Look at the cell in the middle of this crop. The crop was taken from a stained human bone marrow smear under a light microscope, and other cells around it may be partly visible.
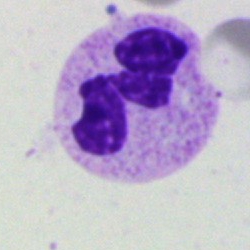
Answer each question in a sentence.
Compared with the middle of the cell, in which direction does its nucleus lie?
The nucleus lies toward the upper left of the cell.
